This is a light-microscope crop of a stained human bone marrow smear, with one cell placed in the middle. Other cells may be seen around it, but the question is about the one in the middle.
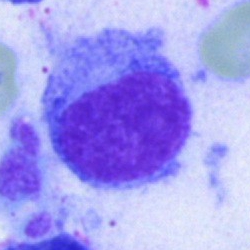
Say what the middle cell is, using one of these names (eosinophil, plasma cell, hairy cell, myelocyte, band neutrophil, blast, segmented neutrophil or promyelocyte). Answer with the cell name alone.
hairy cell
